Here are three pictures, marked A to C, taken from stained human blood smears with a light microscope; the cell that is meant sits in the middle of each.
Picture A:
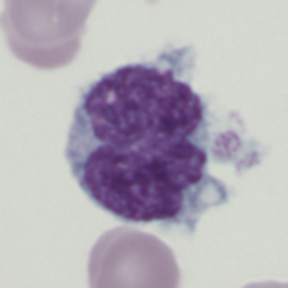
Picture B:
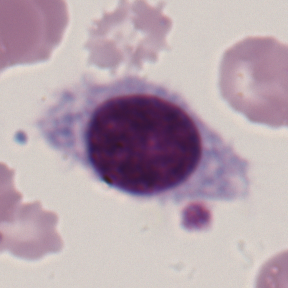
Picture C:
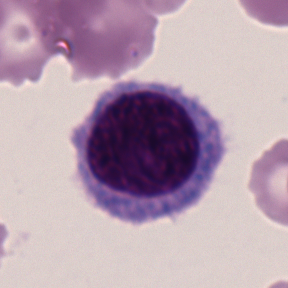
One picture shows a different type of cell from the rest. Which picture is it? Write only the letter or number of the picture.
A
